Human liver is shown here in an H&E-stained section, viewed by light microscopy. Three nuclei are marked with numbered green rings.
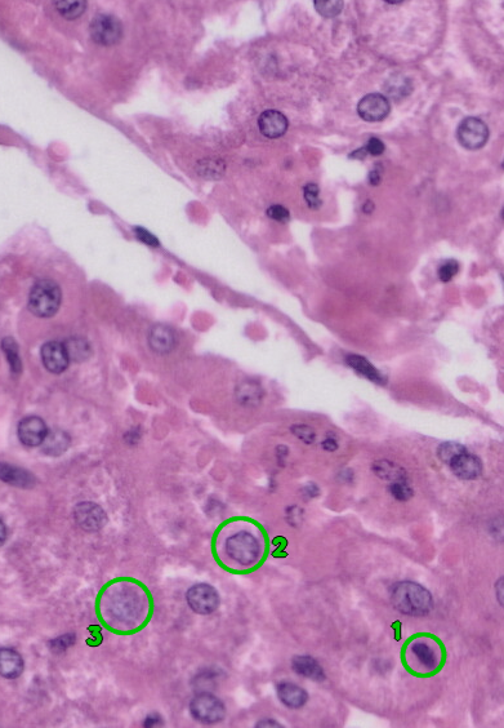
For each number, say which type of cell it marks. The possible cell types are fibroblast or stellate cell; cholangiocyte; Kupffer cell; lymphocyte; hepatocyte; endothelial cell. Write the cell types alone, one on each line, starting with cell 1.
fibroblast or stellate cell
hepatocyte
hepatocyte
